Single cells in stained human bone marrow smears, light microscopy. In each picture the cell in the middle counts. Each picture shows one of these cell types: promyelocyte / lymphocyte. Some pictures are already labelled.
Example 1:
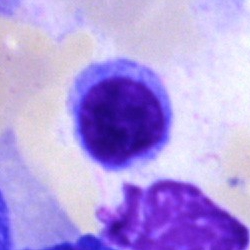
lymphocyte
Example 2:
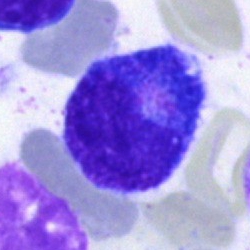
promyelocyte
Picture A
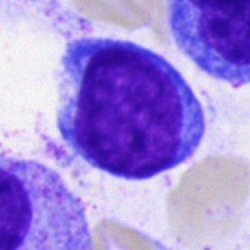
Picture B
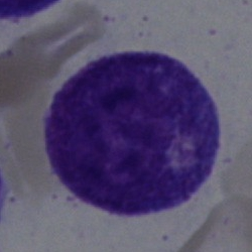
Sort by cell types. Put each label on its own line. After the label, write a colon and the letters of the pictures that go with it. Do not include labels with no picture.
promyelocyte: B
lymphocyte: A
